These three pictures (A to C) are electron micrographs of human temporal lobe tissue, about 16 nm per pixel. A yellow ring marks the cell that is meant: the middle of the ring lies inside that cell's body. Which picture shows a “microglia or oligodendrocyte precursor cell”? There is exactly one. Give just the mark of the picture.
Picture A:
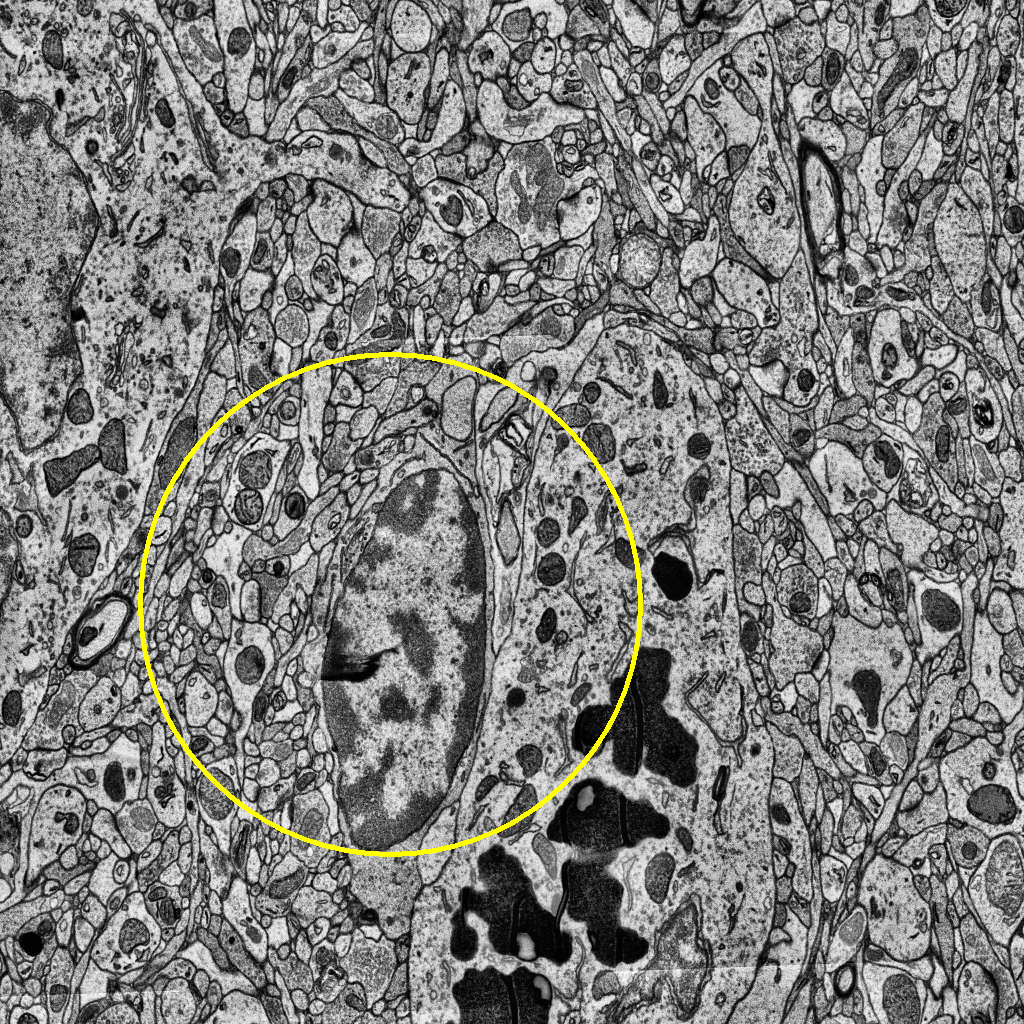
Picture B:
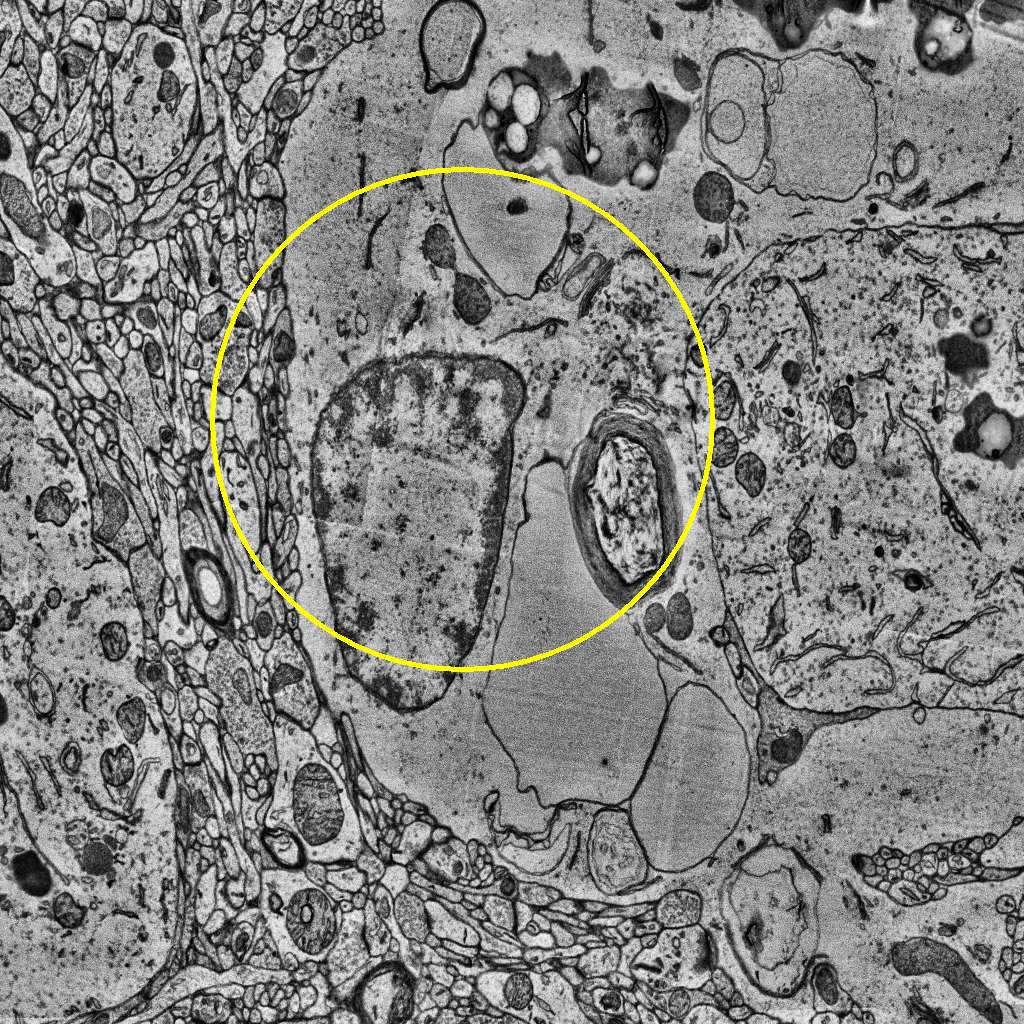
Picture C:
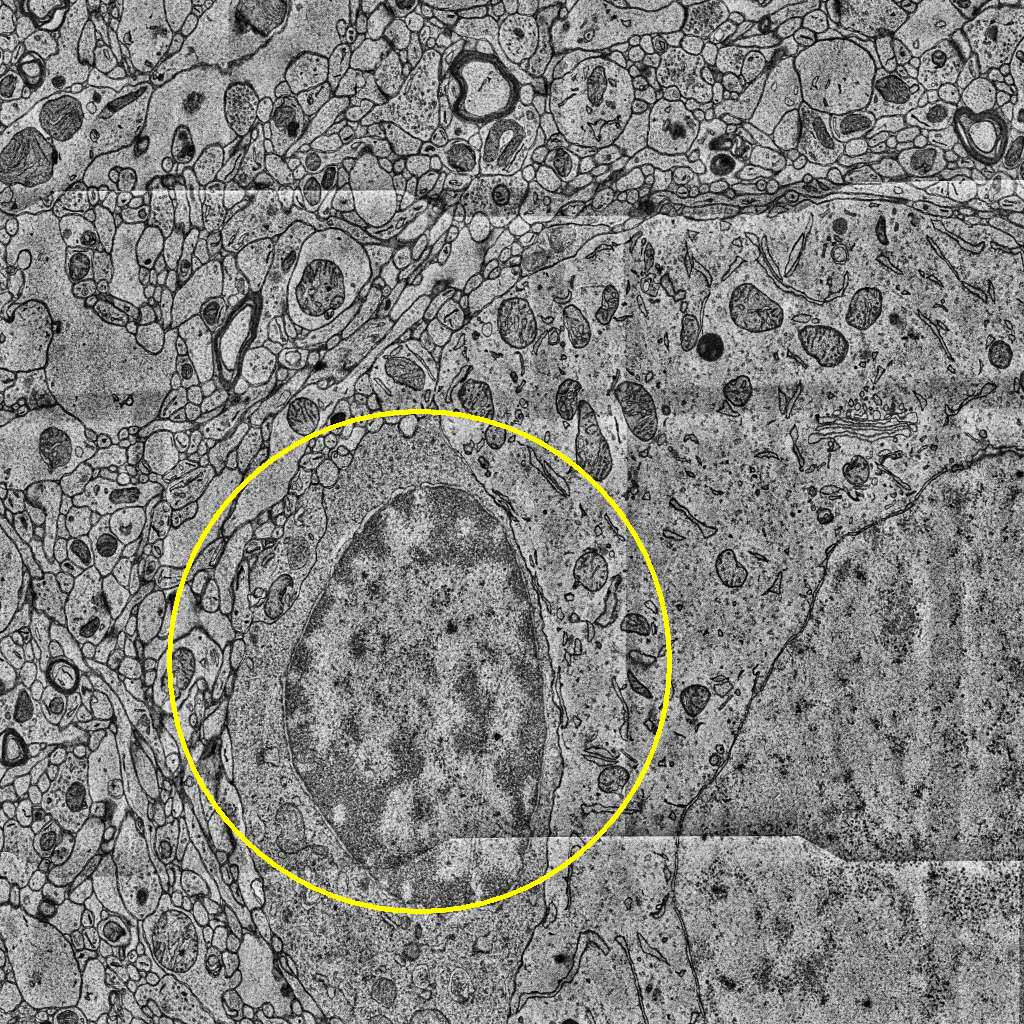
A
